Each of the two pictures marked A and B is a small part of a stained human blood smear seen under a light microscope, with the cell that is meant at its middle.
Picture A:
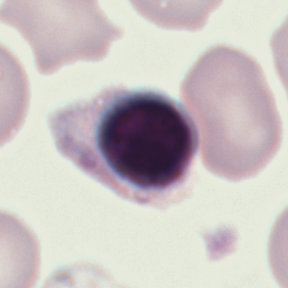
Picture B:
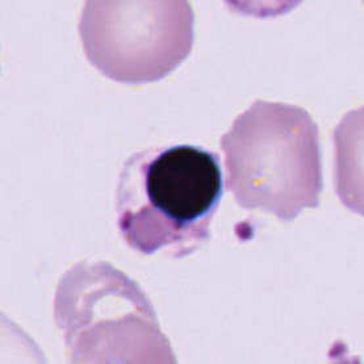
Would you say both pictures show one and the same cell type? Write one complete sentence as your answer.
Yes, both are normoblasts.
